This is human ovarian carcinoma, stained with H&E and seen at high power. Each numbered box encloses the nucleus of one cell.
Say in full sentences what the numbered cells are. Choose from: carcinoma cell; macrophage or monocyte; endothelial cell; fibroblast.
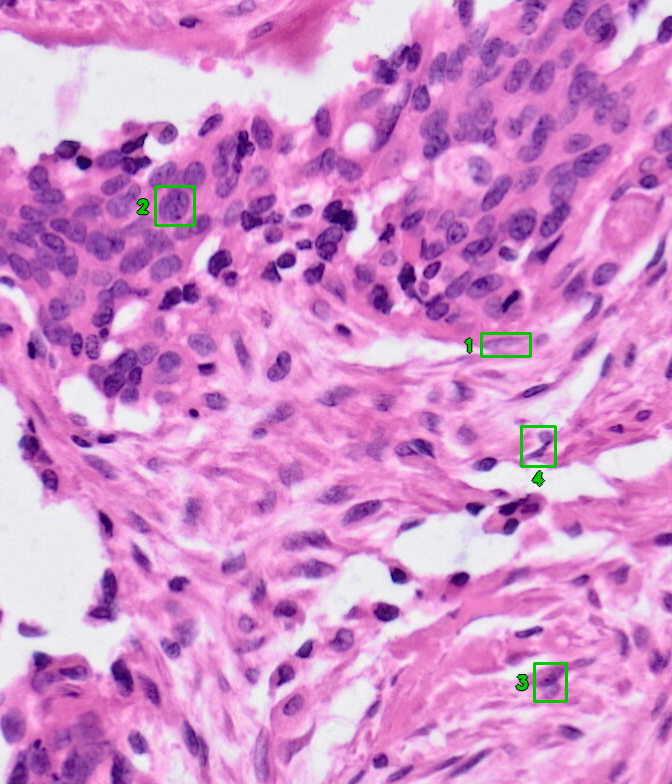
Cell 1 is a fibroblast, cell 2 is a carcinoma cell, cell 3 is a fibroblast and cell 4 is a fibroblast.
